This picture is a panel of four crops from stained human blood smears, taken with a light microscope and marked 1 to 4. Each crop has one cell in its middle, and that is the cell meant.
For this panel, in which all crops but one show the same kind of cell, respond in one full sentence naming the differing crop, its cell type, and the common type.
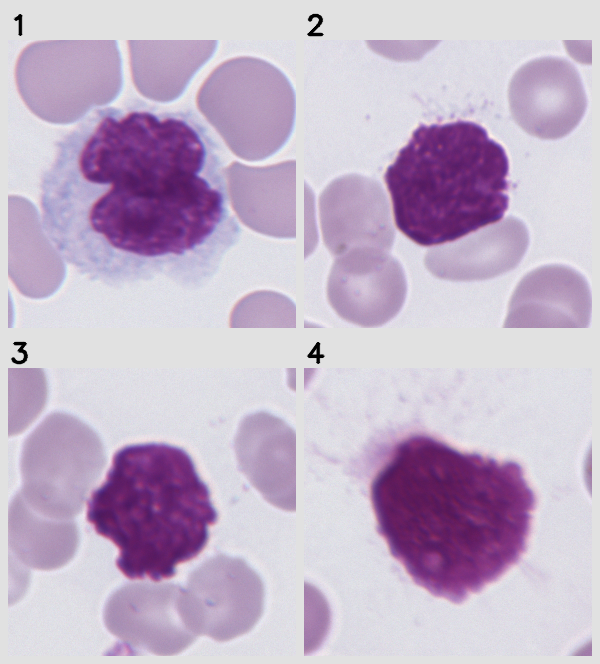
Crop 1 is the only one that is a hairy cell; all the others show smudge cells.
